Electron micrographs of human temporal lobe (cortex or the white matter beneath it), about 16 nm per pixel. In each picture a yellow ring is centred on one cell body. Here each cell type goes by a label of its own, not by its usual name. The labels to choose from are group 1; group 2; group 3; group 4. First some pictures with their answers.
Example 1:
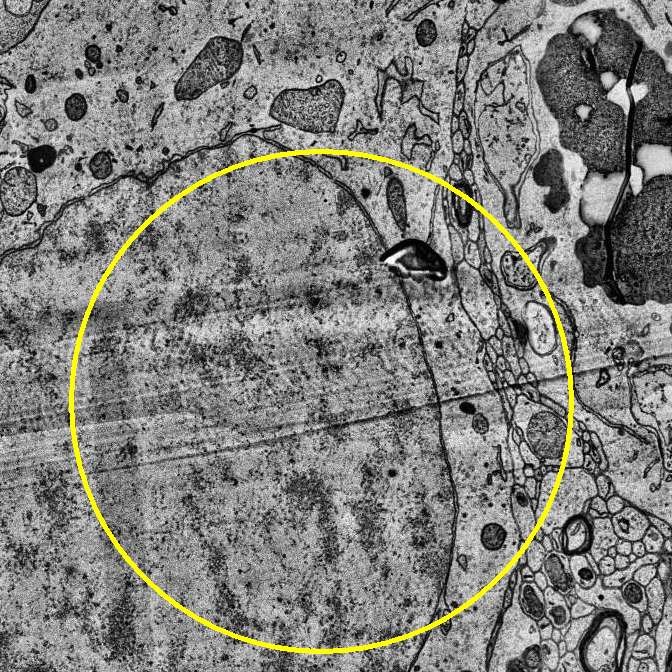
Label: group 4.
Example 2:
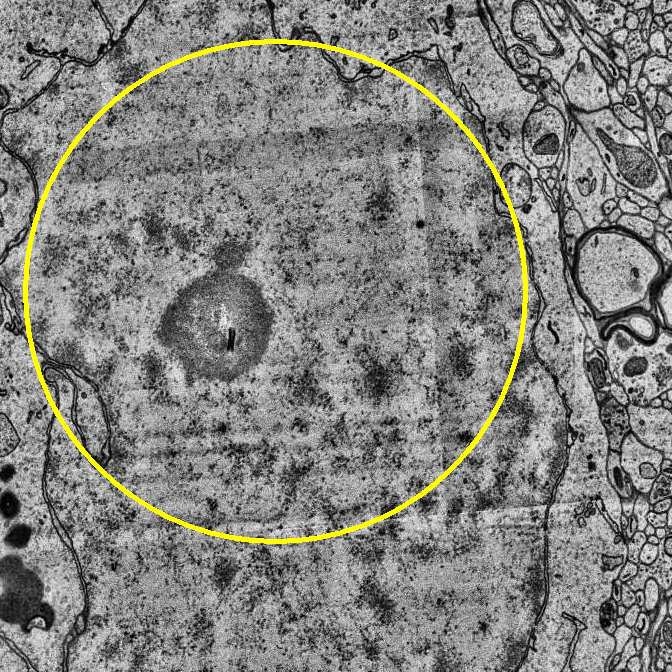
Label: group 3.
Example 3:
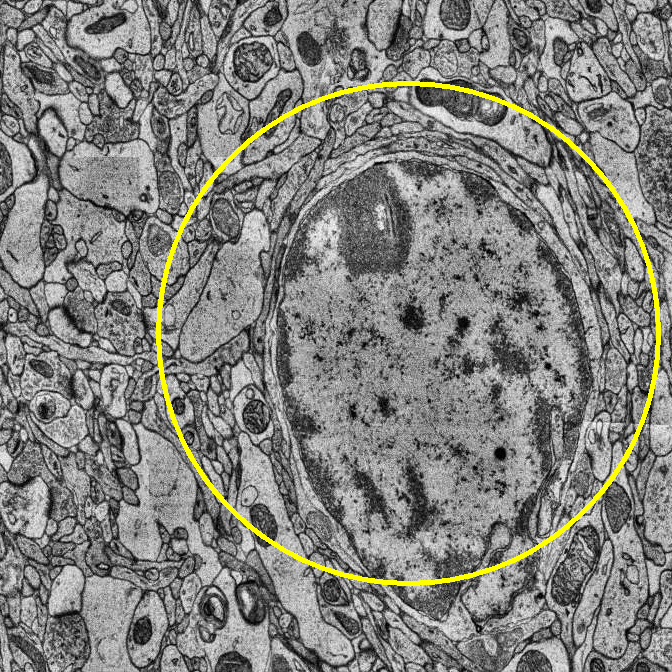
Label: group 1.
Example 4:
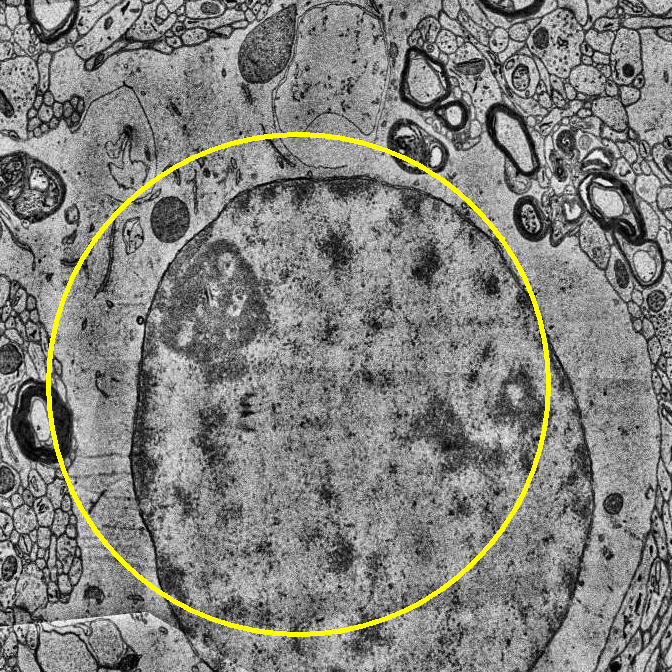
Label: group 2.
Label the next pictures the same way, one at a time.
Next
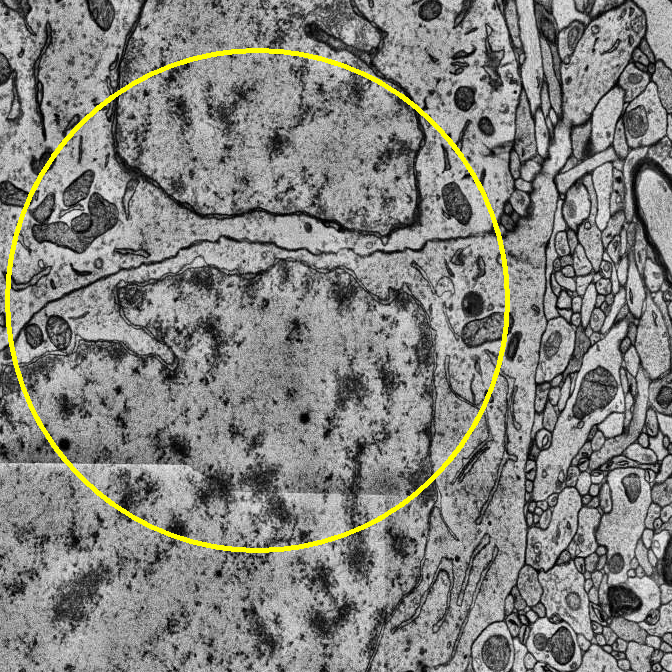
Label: group 3.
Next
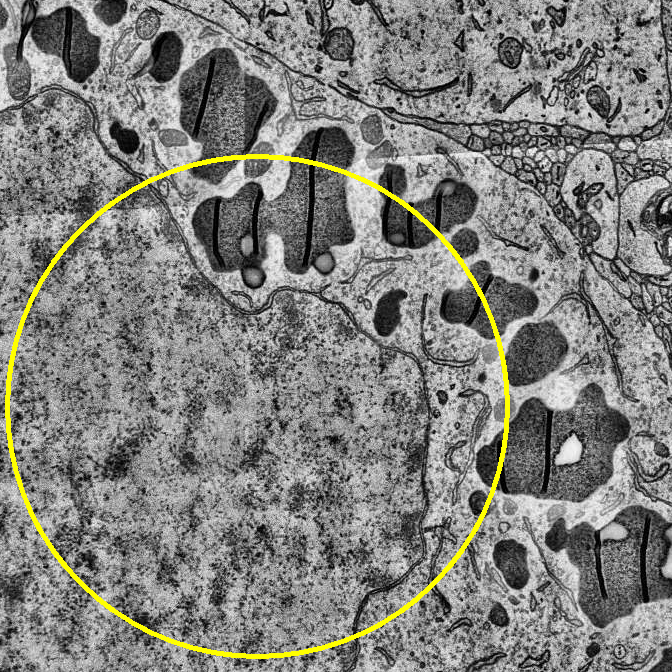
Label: group 3.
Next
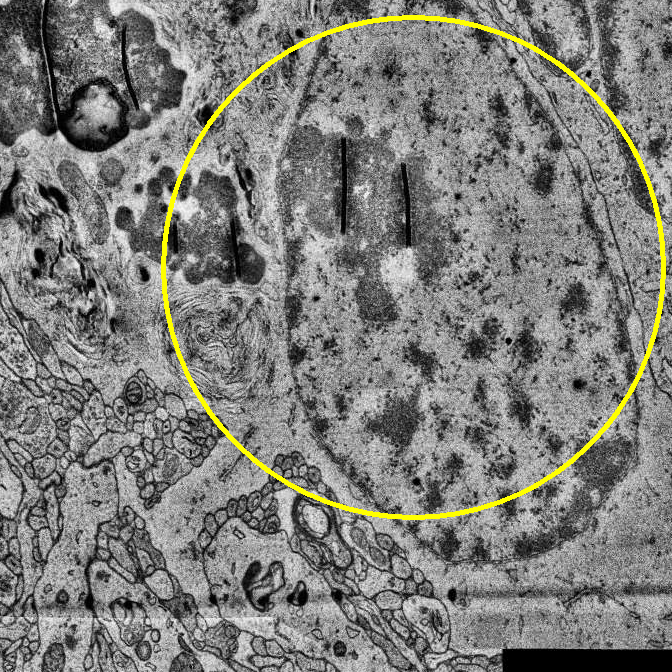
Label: group 2.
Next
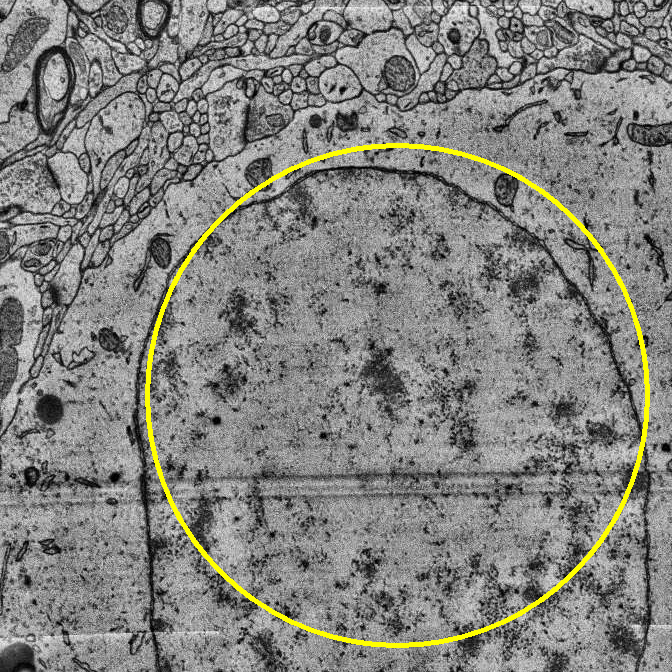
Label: group 4.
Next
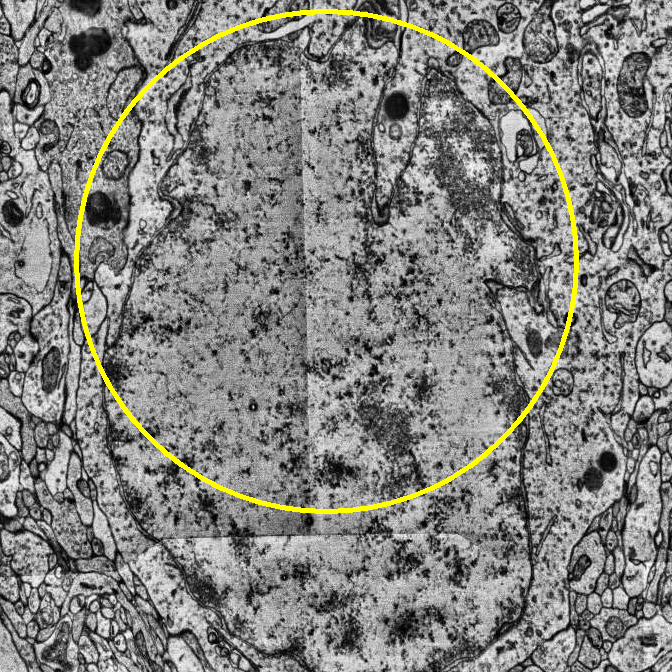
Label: group 3.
